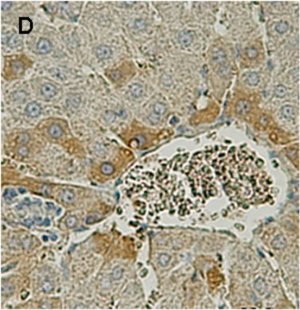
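Liver tissue centred on a blood vessel filled with closely packed red blood cells, surrounded by plates of hepatocytes. The hepatocytes are large polygonal cells with round central blue nuclei, and many show brown cytoplasmic staining of varying intensity. Thin sinusoidal spaces separate the plates and are lined by flat cells with small dark nuclei.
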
